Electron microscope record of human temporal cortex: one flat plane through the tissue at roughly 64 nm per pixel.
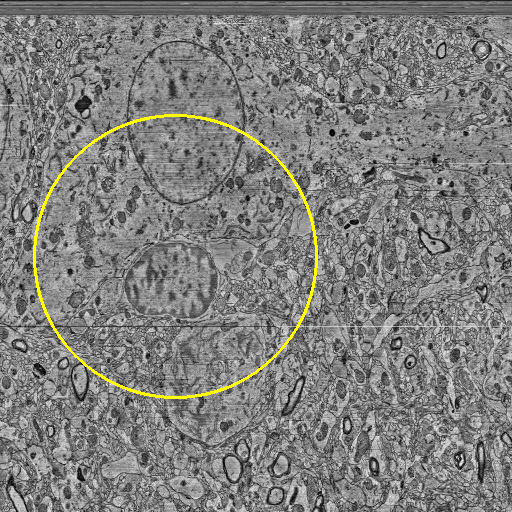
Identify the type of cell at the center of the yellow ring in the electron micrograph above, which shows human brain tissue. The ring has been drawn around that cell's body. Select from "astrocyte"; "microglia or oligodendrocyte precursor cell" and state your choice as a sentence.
The yellow ring is centered on the body of a microglial cell or oligodendrocyte precursor cell.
